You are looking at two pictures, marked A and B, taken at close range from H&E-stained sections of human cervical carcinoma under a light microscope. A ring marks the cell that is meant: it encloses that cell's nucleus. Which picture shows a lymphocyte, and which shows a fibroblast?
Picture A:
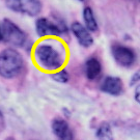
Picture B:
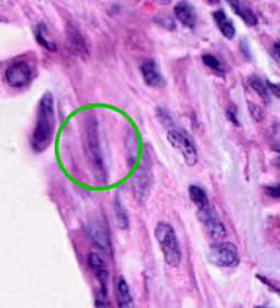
A: lymphocyte
B: fibroblast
